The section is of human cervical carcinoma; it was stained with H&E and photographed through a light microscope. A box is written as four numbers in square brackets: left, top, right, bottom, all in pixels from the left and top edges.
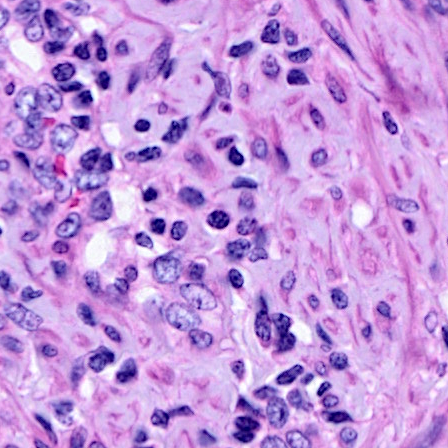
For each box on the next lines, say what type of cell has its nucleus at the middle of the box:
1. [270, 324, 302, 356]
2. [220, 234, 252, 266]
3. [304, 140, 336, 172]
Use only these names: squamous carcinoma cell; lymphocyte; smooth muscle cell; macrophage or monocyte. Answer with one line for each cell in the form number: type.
1: lymphocyte
2: lymphocyte
3: smooth muscle cell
